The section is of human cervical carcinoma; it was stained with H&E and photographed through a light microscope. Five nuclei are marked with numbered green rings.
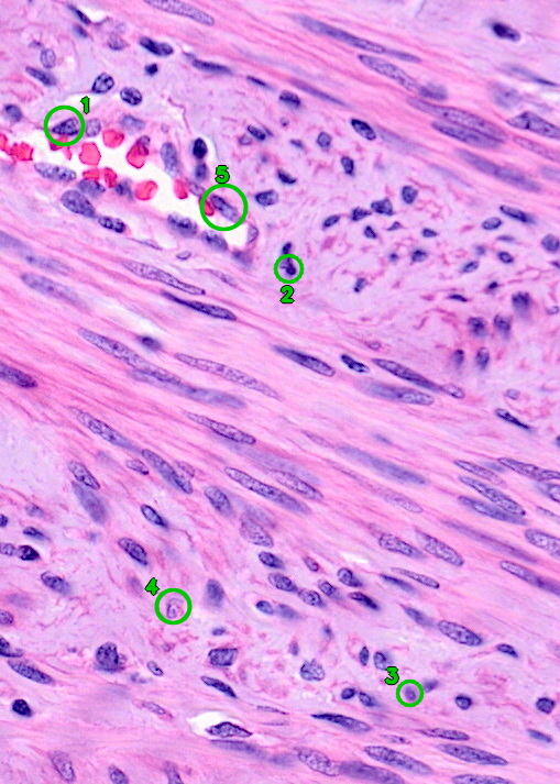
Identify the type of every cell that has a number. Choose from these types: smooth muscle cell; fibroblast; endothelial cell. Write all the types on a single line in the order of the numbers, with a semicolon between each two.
endothelial cell; fibroblast; smooth muscle cell; smooth muscle cell; endothelial cell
